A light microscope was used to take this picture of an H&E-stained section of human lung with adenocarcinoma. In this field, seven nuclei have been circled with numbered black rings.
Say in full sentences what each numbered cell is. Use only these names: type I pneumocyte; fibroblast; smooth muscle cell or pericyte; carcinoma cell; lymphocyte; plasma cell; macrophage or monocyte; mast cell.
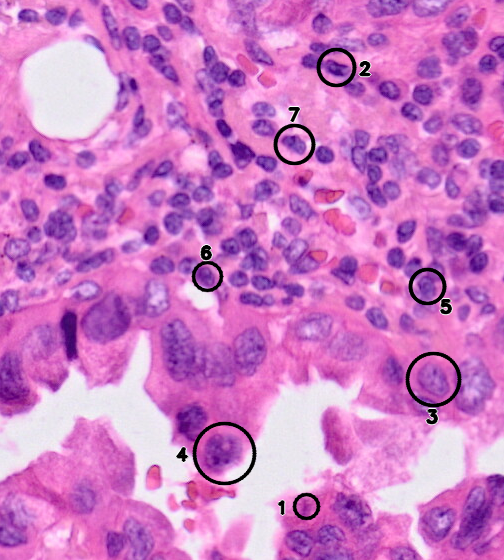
Cell 1 is a carcinoma cell, cell 2 is a lymphocyte, cell 3 is a carcinoma cell, cell 4 is a carcinoma cell, cell 5 is a lymphocyte, cell 6 is a lymphocyte and cell 7 is a lymphocyte.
